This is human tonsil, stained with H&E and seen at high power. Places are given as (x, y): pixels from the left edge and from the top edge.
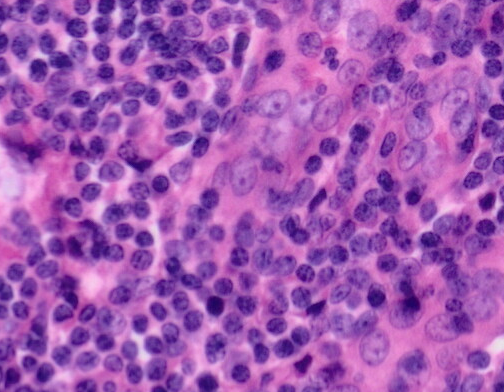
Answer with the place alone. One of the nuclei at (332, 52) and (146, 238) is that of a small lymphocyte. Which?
(146, 238)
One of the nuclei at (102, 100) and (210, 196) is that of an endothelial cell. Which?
(210, 196)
